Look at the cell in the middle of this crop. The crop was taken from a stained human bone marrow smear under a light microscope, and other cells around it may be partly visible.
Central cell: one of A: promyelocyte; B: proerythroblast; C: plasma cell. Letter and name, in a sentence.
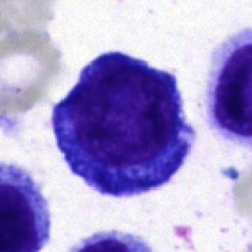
For this crop, option B is right, the centered cell being a proerythroblast.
